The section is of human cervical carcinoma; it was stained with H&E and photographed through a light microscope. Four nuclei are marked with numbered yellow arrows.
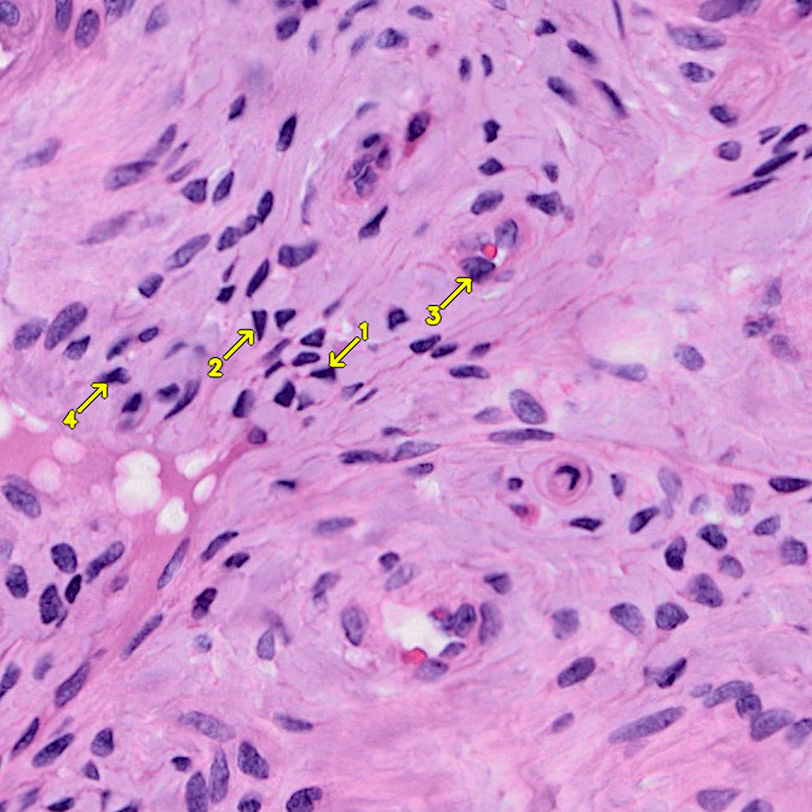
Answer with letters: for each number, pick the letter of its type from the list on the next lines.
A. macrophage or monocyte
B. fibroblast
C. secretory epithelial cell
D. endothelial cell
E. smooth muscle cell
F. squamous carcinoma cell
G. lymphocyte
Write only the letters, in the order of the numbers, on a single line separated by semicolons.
B; B; D; B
